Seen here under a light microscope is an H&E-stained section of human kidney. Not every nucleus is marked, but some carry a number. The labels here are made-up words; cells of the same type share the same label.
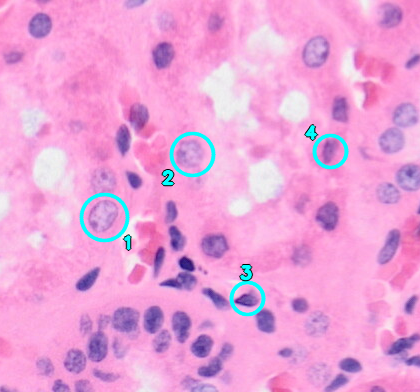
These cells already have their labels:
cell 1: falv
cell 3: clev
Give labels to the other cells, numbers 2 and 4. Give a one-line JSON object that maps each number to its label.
{"2": "falv", "4": "falv"}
